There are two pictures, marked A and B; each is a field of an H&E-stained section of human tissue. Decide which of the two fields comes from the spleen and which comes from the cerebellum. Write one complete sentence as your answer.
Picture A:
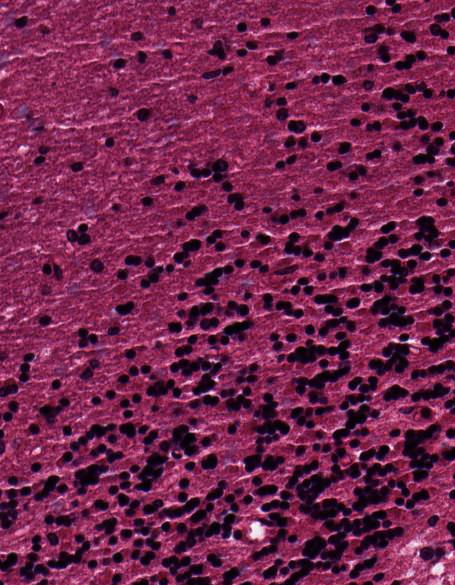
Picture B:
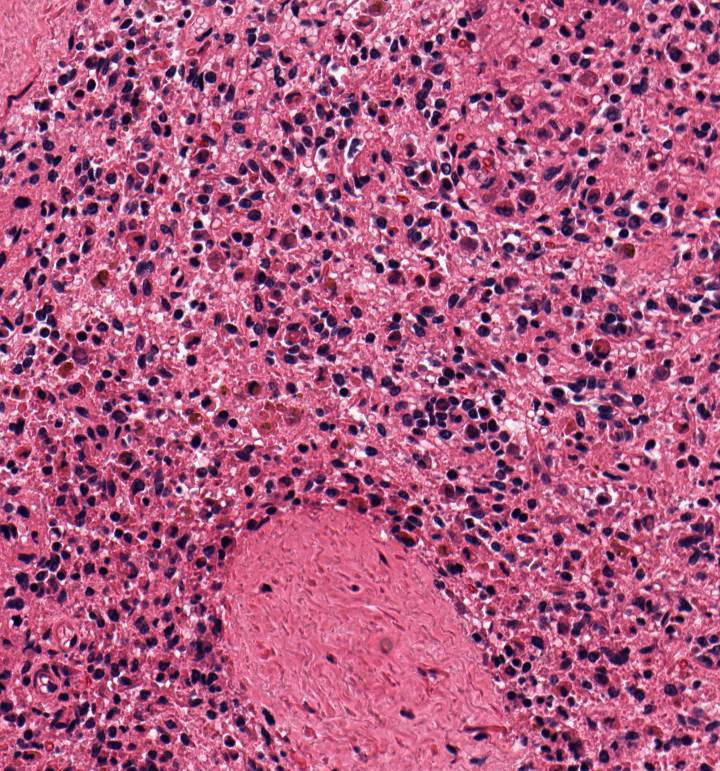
Picture A comes from the cerebellum and picture B comes from the spleen.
